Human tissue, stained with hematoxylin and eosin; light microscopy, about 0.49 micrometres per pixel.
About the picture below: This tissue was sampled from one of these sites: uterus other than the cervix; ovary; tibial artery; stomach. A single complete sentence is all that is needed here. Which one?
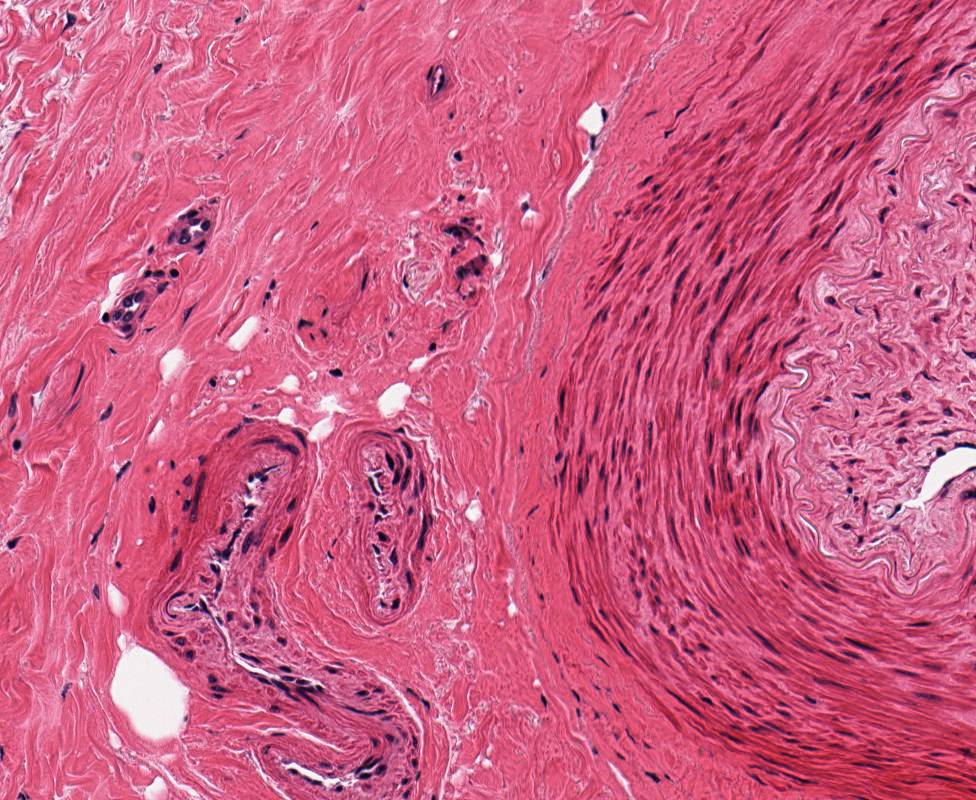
Tissue on this slide was obtained from the tibial artery.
